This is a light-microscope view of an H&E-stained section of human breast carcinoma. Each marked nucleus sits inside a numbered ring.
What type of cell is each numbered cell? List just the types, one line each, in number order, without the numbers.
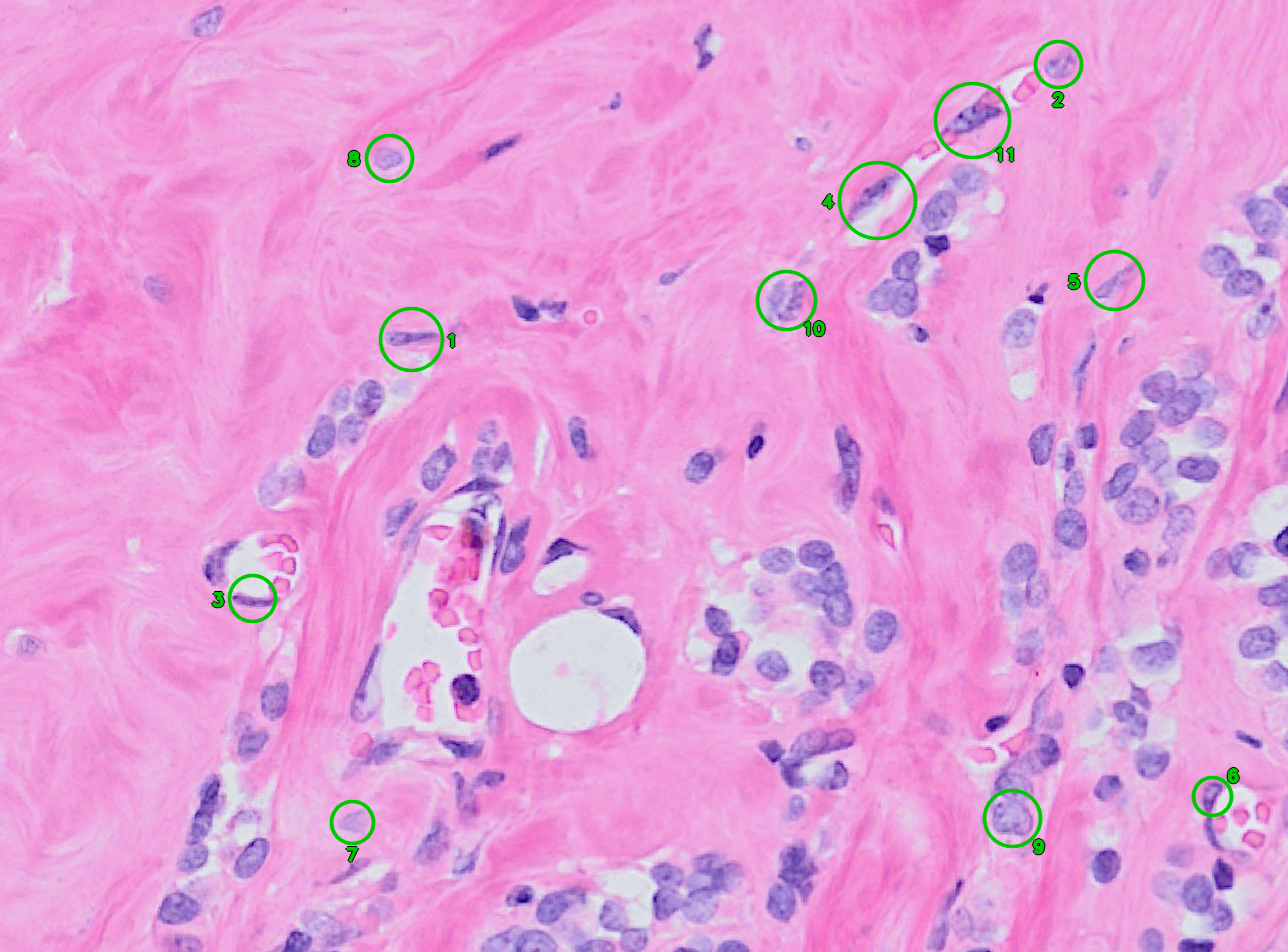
fibroblast
endothelial cell
endothelial cell
endothelial cell
fibroblast
endothelial cell
fibroblast
fibroblast
carcinoma cell
fibroblast
endothelial cell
